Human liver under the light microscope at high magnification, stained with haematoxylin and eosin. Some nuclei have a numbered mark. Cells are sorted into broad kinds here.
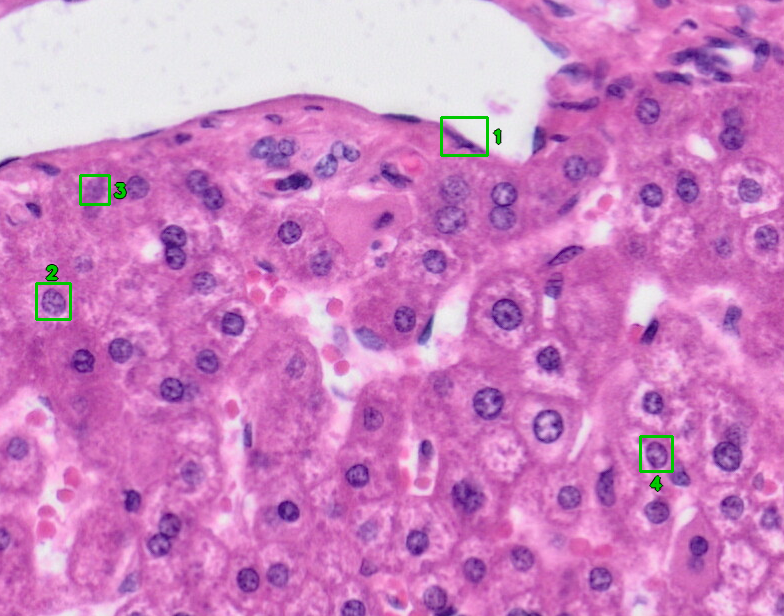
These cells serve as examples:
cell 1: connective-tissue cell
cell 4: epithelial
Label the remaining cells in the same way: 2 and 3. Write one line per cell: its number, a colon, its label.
2: epithelial
3: epithelial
